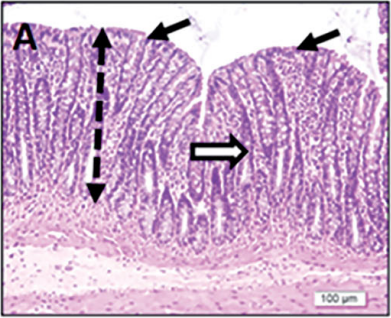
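This is the colonic mucosa, with long straight crypts running in close parallel rows from an intact surface epithelium down to the pink submucosa. The crypts are lined by columnar epithelium rich in pale, vacuolated goblet cells, with purple-nucleated lamina propria between them. The mucosa is of full height and the surface lining is continuous.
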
